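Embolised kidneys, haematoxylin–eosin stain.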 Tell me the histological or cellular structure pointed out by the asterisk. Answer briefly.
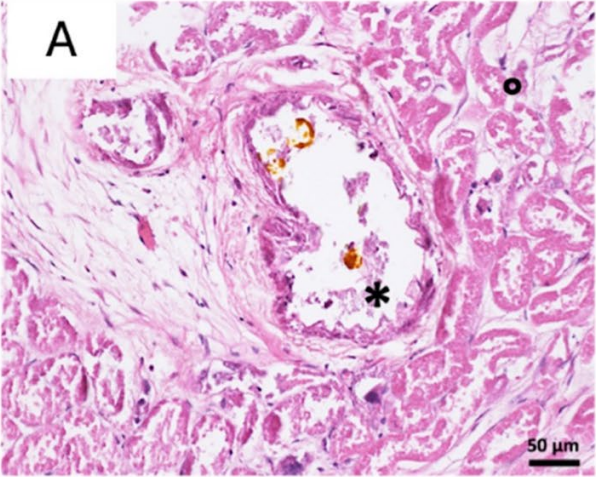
Glue.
